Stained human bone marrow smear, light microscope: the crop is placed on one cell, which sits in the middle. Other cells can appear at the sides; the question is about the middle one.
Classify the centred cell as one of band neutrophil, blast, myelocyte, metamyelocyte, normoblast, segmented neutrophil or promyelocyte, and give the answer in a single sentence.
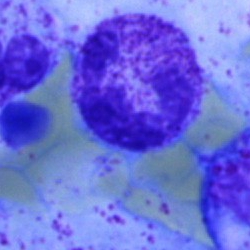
At the middle of the frame sits a segmented neutrophil.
